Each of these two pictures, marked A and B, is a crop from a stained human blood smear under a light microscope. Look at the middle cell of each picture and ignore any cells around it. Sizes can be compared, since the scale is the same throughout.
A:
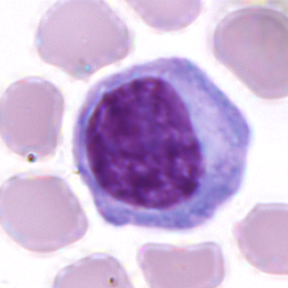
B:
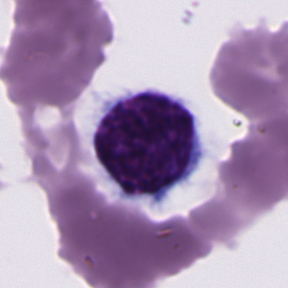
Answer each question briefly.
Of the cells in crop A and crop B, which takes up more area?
A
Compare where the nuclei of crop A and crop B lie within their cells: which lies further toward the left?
A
